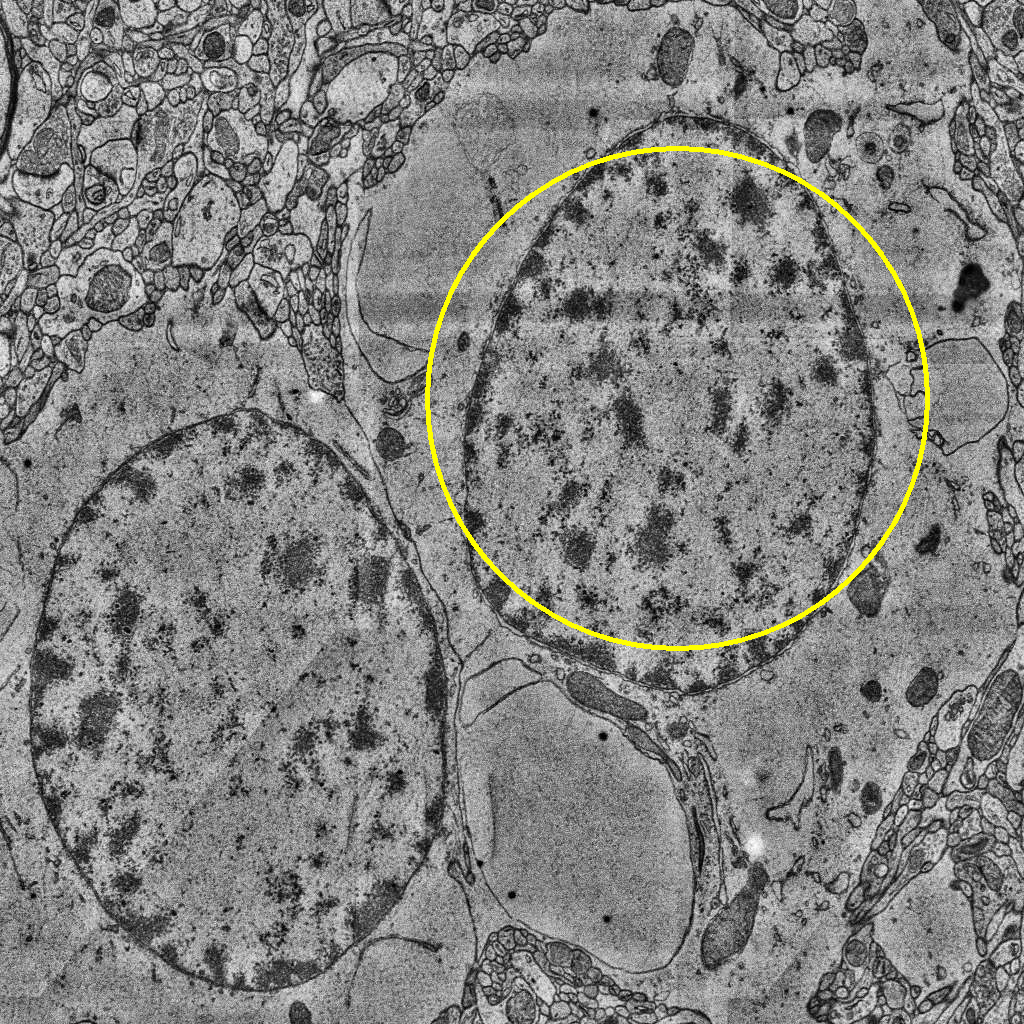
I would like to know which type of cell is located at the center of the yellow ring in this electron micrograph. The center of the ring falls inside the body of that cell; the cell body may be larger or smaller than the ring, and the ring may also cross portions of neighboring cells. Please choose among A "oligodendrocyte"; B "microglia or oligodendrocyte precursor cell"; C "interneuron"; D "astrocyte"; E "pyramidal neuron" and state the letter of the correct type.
D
